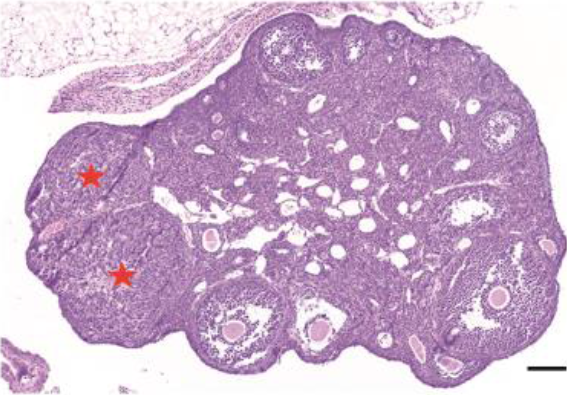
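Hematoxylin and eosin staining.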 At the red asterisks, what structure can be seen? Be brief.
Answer: Corpora lutea.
